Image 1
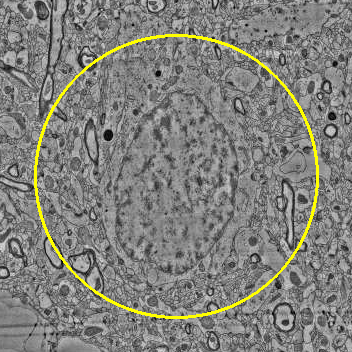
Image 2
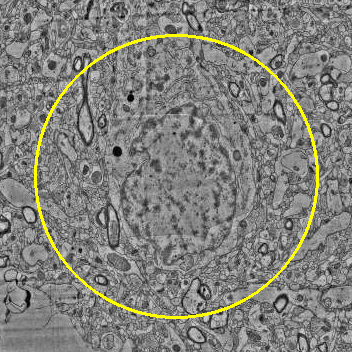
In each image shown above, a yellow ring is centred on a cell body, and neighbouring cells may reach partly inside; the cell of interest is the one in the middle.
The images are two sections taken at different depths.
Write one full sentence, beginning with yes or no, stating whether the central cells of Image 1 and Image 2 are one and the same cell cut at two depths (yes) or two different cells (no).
Yes, one single cell is under each of the two rings.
